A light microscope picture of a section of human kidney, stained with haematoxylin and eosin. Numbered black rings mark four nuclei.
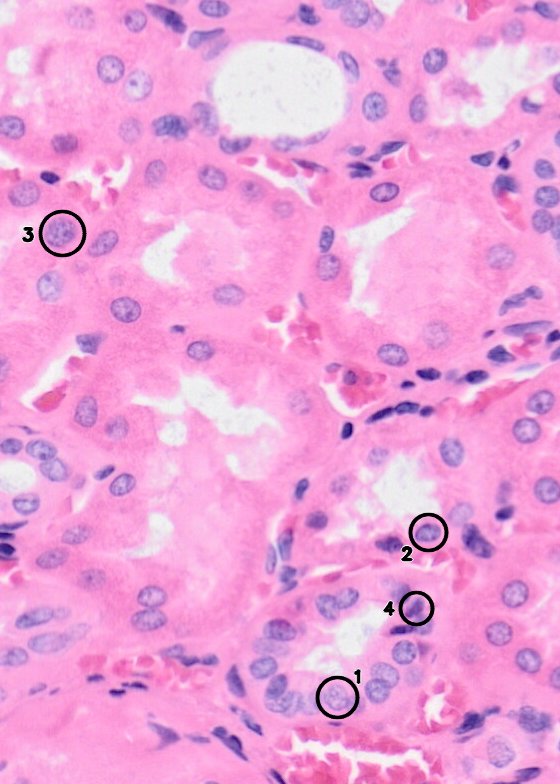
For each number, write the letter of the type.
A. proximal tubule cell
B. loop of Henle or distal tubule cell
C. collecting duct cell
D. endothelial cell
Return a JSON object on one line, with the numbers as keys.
{"1": "C", "2": "B", "3": "A", "4": "C"}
